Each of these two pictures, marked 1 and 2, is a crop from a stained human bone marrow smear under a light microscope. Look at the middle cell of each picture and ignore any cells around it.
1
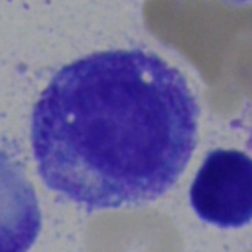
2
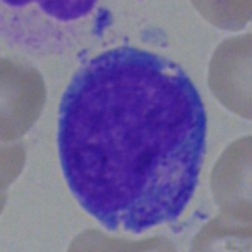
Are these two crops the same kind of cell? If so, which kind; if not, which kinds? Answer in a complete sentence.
No, a myelocyte is the subject of crop 1, and a promyelocyte is the subject of crop 2.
